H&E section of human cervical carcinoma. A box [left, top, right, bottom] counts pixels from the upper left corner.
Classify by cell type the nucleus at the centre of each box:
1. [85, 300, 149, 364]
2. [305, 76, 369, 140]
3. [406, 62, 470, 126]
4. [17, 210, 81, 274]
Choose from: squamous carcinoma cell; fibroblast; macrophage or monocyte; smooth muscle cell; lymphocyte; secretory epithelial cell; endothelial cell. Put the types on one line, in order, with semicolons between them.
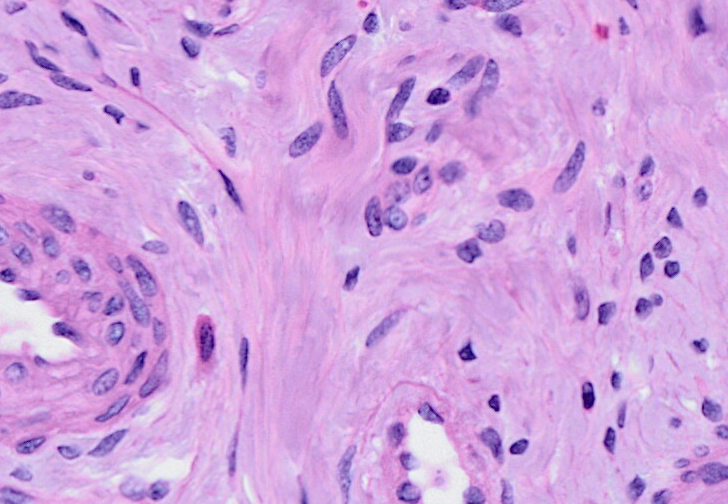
smooth muscle cell; fibroblast; lymphocyte; smooth muscle cell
